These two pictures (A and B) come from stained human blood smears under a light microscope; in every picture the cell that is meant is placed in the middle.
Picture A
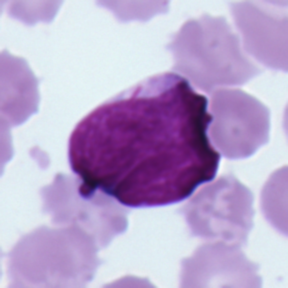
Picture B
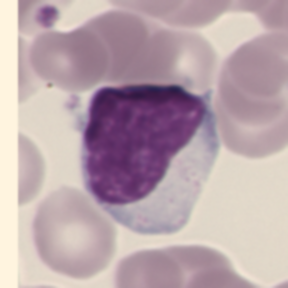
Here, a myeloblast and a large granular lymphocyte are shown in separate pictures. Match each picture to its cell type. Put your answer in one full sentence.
Picture A shows a myeloblast and picture B shows a large granular lymphocyte.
